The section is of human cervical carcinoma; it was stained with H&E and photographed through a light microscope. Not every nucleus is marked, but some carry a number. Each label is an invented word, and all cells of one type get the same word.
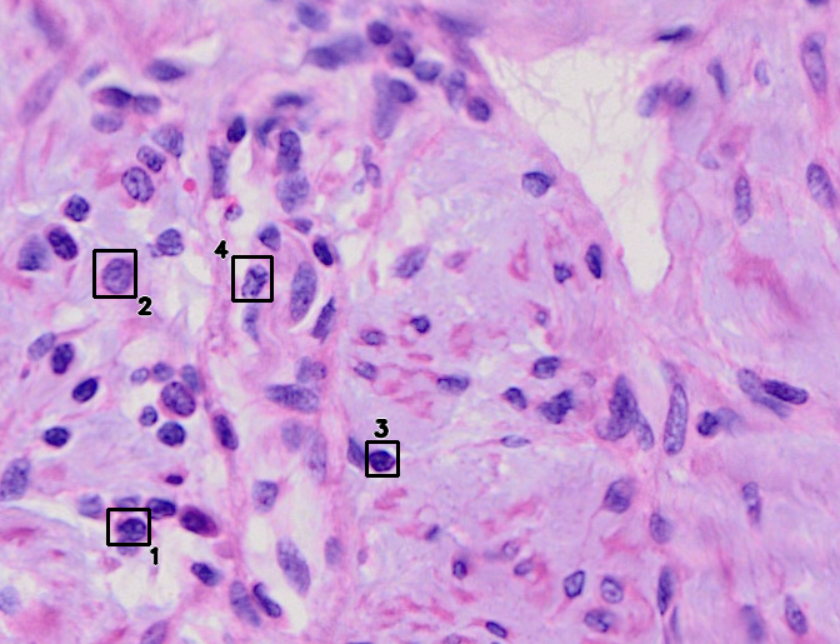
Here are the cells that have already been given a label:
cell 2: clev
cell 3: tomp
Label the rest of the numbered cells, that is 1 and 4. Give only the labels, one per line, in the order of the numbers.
tomp
tomp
